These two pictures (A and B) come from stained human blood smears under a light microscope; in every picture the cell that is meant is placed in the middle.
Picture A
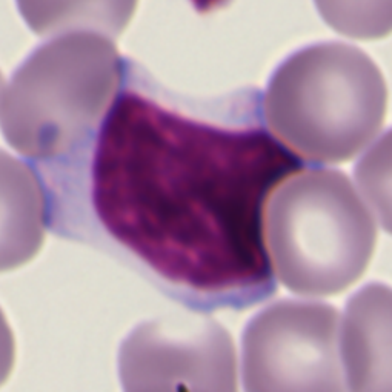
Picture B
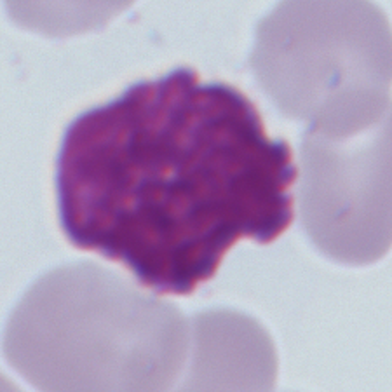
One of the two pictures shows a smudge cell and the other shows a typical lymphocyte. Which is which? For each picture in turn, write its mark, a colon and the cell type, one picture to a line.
A: typical lymphocyte
B: smudge cell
